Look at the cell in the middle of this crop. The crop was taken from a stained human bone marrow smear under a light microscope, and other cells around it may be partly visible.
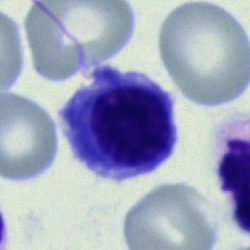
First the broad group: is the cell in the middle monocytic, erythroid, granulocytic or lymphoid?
erythroid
